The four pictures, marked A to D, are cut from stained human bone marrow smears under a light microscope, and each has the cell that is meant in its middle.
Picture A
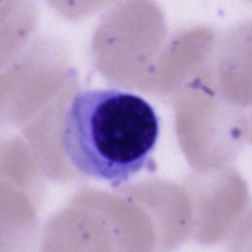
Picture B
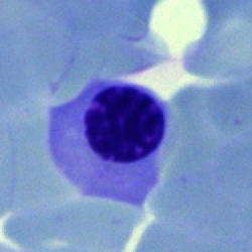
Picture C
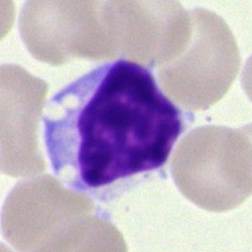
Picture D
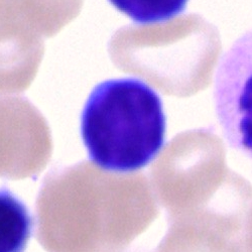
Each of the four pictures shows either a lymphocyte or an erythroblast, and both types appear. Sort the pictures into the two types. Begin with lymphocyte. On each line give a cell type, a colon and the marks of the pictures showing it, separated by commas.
lymphocyte: C, D
erythroblast: A, B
